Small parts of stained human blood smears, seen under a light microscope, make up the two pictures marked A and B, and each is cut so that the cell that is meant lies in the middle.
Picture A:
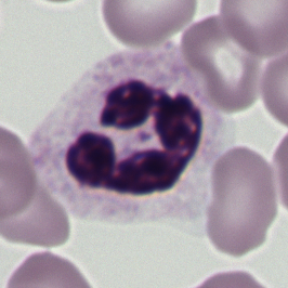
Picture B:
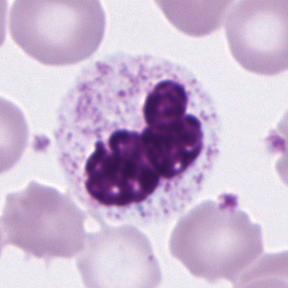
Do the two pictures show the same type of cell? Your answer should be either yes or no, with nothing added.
yes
